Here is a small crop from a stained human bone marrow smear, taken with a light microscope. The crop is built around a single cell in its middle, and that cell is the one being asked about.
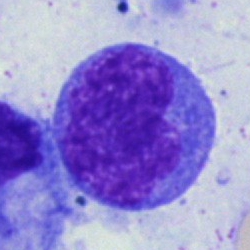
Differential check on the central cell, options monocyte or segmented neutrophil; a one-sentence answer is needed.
The cell nearest the centre of this crop is a monocyte.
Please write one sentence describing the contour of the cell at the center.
You can see a smooth boundary, with no projections sticking out.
